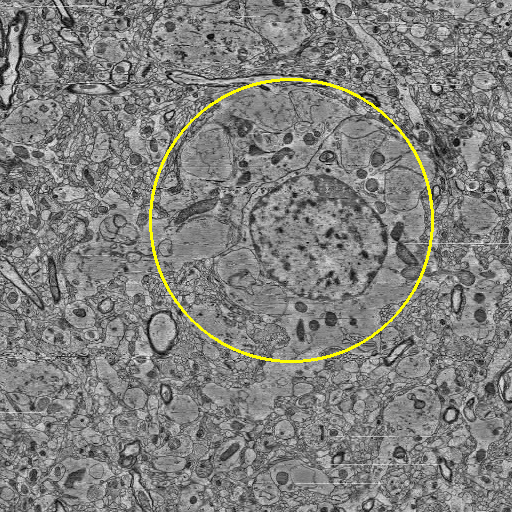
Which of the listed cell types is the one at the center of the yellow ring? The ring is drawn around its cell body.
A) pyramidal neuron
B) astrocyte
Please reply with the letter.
B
